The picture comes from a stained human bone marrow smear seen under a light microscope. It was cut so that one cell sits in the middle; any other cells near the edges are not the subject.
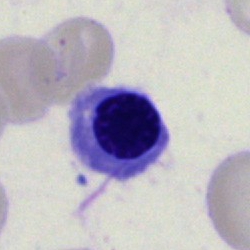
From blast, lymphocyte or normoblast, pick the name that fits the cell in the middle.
normoblast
